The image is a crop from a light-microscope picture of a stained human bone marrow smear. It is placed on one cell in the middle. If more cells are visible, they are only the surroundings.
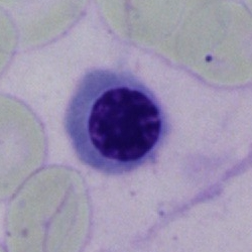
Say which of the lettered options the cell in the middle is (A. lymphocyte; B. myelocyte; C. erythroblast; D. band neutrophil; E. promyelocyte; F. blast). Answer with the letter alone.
C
